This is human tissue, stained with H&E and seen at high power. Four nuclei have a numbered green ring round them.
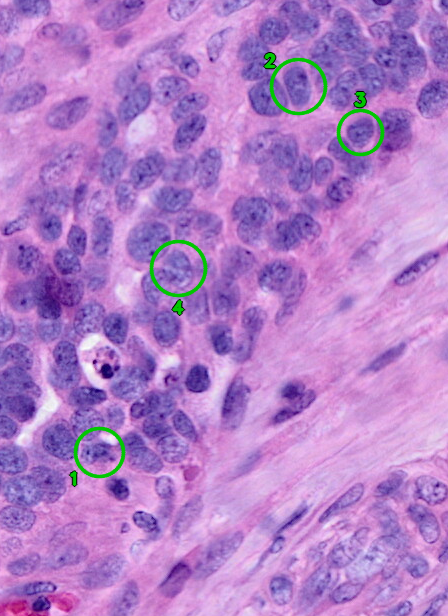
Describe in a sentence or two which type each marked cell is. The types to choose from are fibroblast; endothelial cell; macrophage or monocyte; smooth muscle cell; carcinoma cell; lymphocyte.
Cell 1 is a macrophage or monocyte, cell 2 is a carcinoma cell, cell 3 is a carcinoma cell and cell 4 is a carcinoma cell.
